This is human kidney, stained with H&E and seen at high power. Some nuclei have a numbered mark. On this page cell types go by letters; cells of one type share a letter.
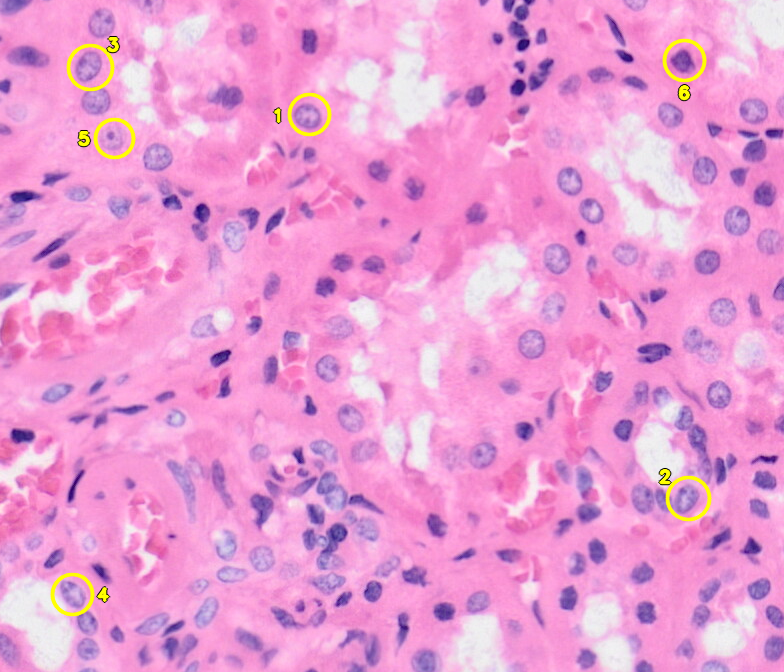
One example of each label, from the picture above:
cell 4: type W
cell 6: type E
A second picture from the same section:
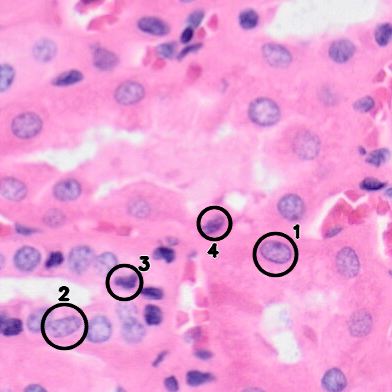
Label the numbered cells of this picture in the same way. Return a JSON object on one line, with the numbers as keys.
{"1": "type E", "2": "type W", "3": "type W", "4": "type E"}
